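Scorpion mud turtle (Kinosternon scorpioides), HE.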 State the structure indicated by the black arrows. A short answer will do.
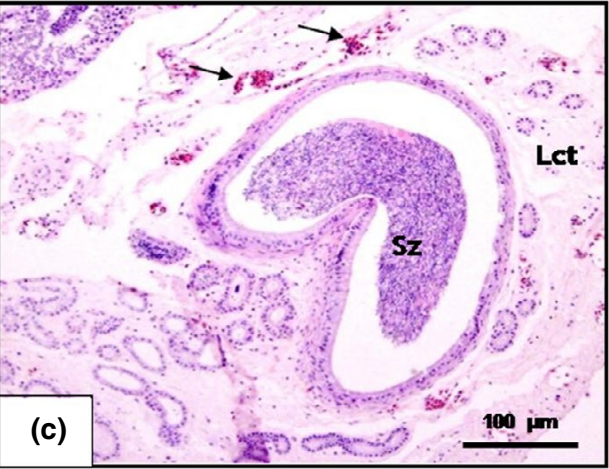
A: blood vessels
